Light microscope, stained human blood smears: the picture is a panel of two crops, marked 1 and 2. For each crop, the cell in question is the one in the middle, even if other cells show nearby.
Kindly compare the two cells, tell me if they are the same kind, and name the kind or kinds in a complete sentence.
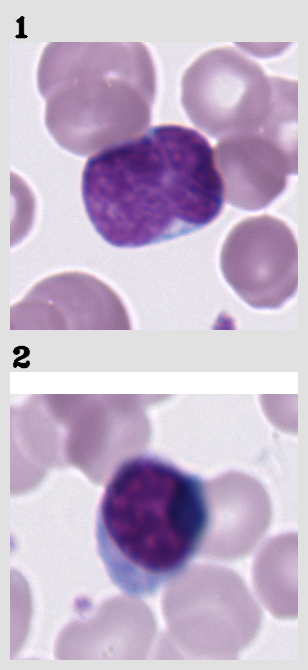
No, sorry, crop 1 shows a myeloblast and crop 2 shows a typical lymphocyte.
